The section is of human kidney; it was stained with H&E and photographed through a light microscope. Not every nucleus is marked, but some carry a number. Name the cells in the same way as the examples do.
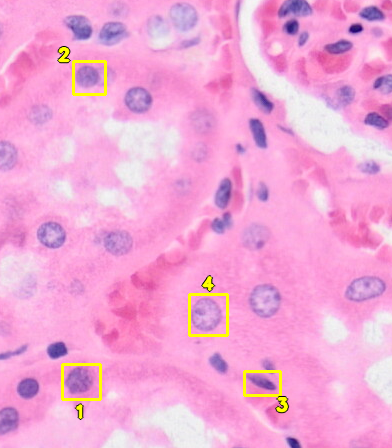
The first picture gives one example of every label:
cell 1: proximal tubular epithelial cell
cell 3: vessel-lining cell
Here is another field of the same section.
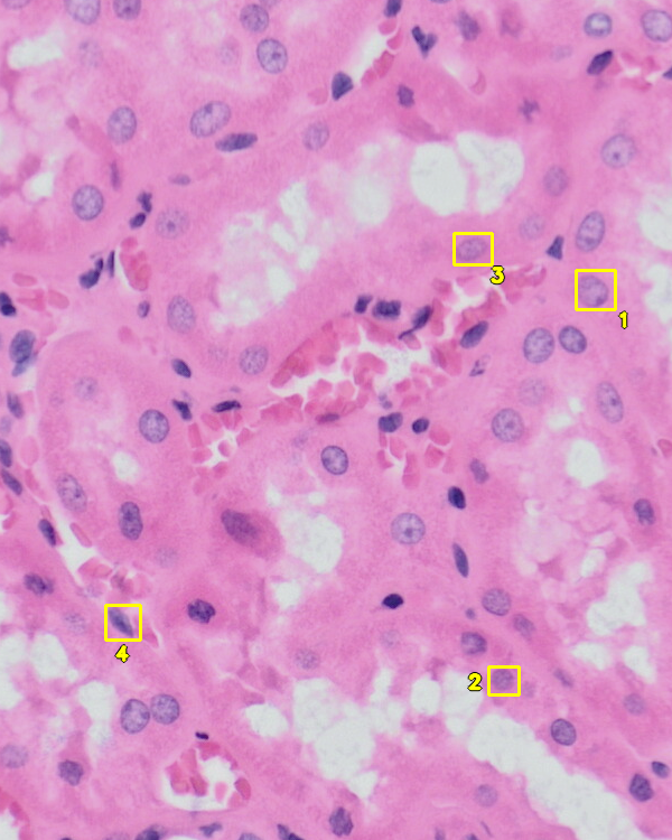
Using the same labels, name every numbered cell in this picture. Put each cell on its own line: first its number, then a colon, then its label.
1: proximal tubular epithelial cell
2: proximal tubular epithelial cell
3: proximal tubular epithelial cell
4: vessel-lining cell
